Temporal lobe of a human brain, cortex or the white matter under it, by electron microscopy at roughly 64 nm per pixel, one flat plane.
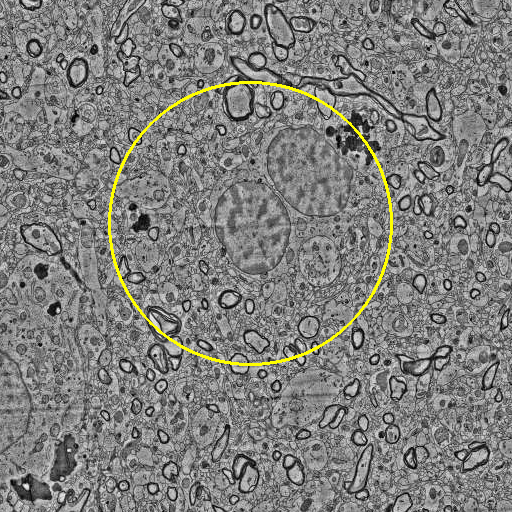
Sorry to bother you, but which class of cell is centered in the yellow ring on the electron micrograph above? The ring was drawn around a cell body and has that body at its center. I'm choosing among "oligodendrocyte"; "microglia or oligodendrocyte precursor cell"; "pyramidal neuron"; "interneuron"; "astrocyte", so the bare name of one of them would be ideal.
oligodendrocyte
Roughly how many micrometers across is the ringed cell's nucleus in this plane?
In this plane, about 6 micrometres in length and 5 in width.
